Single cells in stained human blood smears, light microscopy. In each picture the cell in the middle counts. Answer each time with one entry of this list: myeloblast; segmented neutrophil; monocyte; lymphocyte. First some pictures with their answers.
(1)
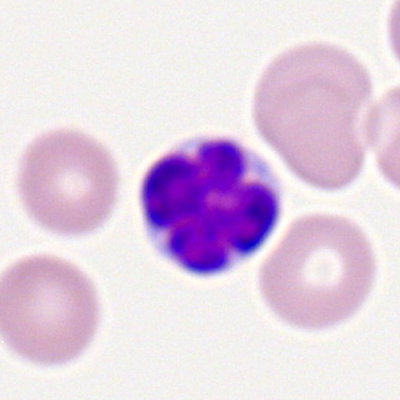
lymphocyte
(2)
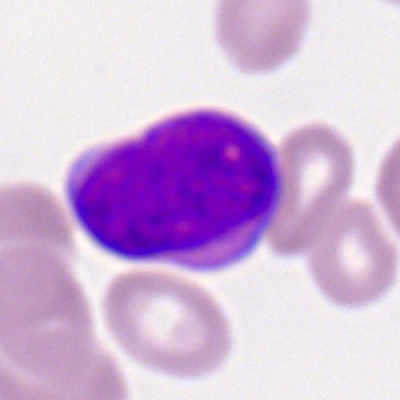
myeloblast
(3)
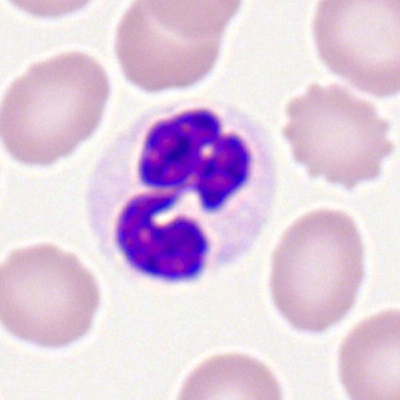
segmented neutrophil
